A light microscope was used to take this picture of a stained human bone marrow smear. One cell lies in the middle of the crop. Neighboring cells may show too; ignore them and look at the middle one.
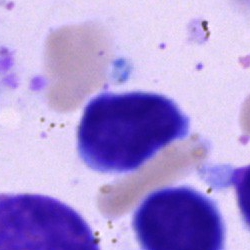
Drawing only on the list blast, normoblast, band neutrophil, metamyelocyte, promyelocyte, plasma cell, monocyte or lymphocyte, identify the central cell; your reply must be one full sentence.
The crop's centre is taken up by a lymphocyte.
